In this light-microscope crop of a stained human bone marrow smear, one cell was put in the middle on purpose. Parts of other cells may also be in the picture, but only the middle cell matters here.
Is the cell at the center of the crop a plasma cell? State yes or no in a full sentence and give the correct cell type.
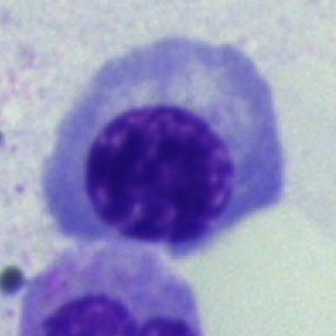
No, looking at the central cell, it is an erythroblast rather than a plasma cell.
